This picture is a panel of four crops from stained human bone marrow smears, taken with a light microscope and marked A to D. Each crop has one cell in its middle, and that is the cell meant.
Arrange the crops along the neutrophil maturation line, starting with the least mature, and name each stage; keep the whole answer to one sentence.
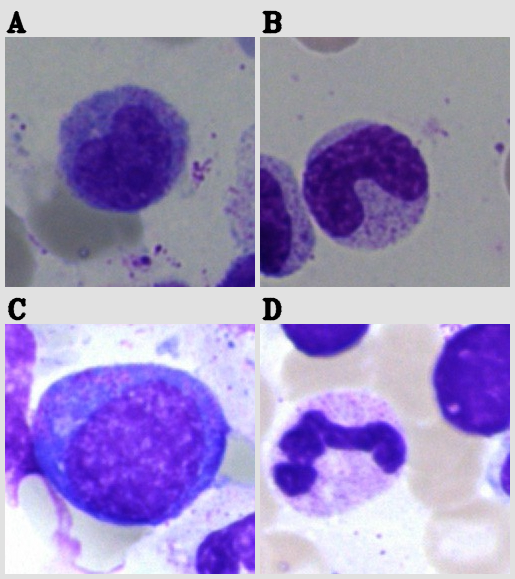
Starting with the least mature and ending with the most mature, the order is crop C (a promyelocyte), crop A (a metamyelocyte), crop B (a band neutrophil) and crop D (a segmented neutrophil).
